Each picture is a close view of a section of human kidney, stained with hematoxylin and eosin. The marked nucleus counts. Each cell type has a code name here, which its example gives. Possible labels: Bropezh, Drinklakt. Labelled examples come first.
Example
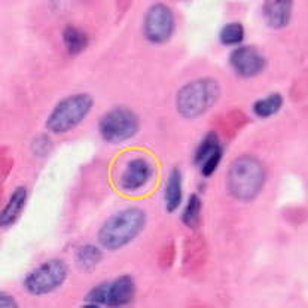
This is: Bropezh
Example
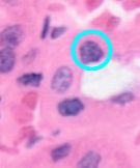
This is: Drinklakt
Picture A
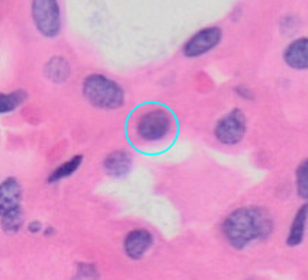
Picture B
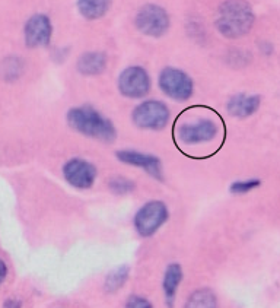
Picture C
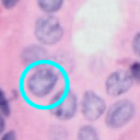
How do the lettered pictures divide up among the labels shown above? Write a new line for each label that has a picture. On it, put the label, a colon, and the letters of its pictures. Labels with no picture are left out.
Bropezh: C
Drinklakt: A, B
